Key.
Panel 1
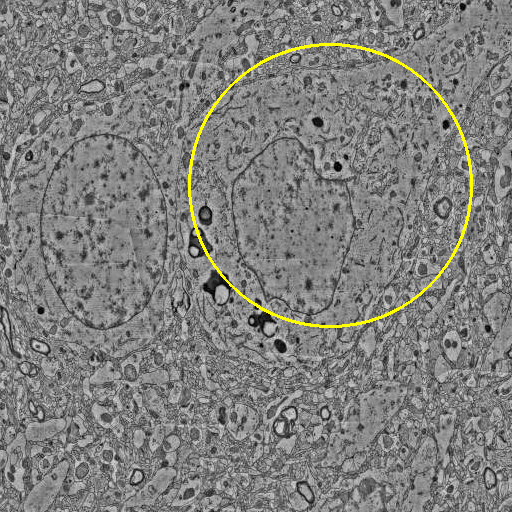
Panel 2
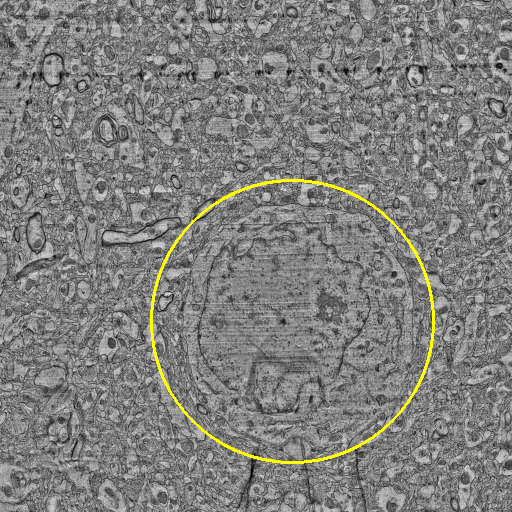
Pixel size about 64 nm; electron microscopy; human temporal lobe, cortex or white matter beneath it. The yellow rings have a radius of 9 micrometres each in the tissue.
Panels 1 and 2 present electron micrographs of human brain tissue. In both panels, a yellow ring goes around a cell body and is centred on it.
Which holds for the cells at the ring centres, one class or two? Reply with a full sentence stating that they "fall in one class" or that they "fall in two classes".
Taken together, the ring-centre cells of the two panels fall in two classes.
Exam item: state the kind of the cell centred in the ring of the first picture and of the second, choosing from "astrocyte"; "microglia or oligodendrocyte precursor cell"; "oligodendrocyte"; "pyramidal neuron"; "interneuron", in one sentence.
The first picture shows a pyramidal neuron at the ring centre and the second shows an interneuron.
